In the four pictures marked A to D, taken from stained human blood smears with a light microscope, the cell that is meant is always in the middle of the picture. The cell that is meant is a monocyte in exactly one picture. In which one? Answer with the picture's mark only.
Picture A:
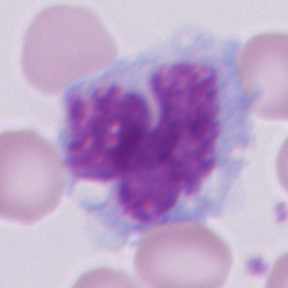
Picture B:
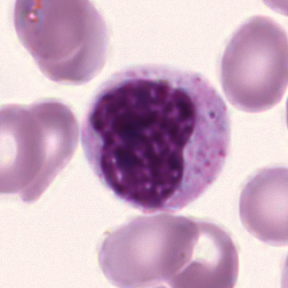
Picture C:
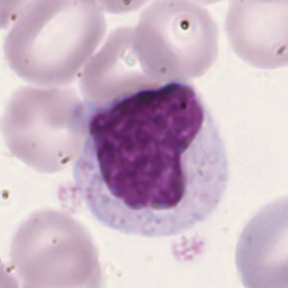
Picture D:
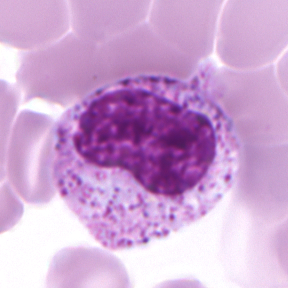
A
